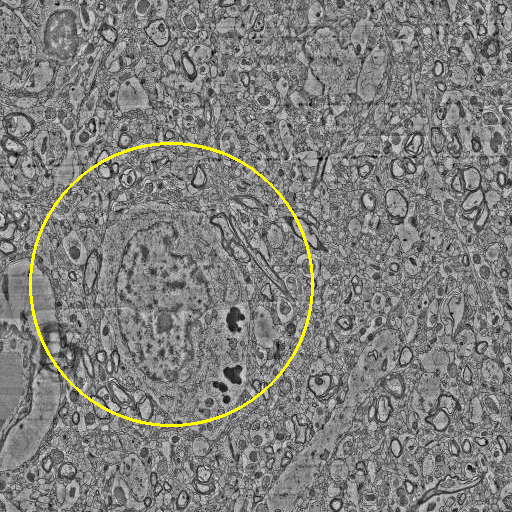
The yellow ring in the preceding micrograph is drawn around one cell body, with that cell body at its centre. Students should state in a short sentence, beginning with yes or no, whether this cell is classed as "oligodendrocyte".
No, this cell is of another type.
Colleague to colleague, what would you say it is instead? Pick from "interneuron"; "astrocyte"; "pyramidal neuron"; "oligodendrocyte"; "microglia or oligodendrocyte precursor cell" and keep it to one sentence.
The ringed cell in this picture is, instead, an interneuron.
